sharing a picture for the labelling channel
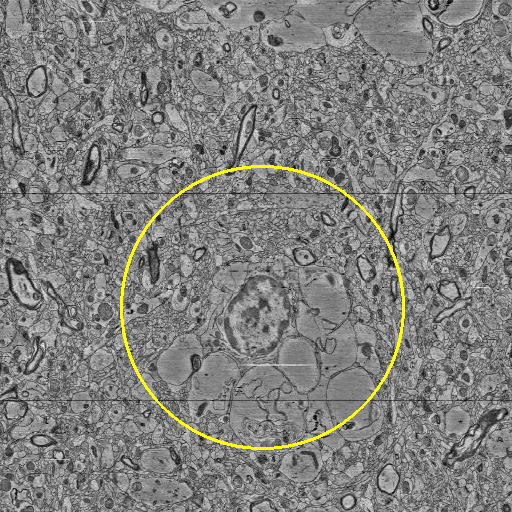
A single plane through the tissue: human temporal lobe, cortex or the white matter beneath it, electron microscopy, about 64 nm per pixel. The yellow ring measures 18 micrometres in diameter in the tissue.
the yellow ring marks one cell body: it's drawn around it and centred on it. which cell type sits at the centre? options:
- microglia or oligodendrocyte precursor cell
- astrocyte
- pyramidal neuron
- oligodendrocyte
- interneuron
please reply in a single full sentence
In the picture, the cell at the ring's centre is a microglial cell or oligodendrocyte precursor cell, going by the list.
